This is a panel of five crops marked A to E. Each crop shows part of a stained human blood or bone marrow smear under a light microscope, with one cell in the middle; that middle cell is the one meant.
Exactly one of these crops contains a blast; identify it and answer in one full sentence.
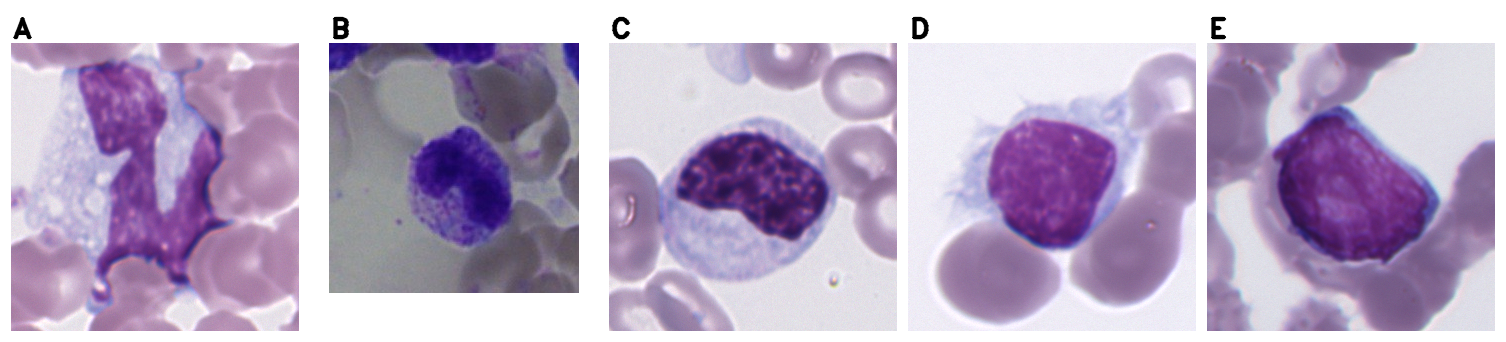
Crop E is where a blast is to be found.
